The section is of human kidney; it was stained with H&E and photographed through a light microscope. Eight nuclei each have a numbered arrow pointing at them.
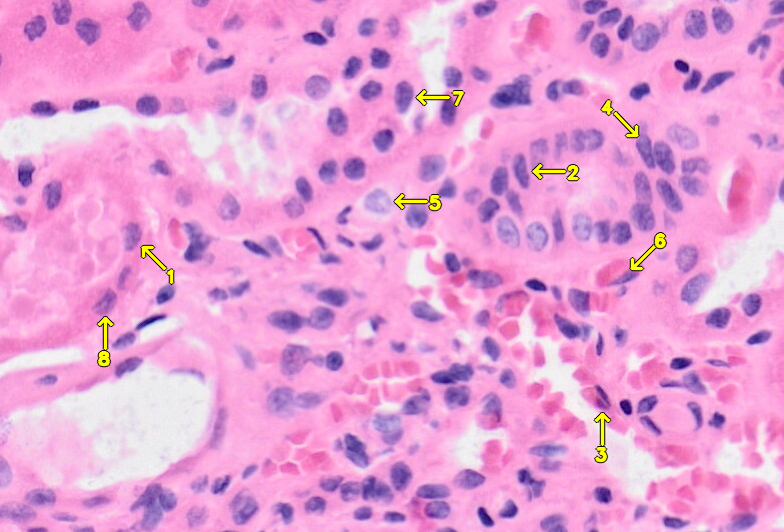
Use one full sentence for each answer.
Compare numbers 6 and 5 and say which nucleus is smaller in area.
Nucleus 6 is the smaller one; nucleus 5 covers about 2 times its area.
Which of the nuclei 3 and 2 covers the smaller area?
Nucleus 3 covers less area, with nucleus 2 about 2 times as large.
